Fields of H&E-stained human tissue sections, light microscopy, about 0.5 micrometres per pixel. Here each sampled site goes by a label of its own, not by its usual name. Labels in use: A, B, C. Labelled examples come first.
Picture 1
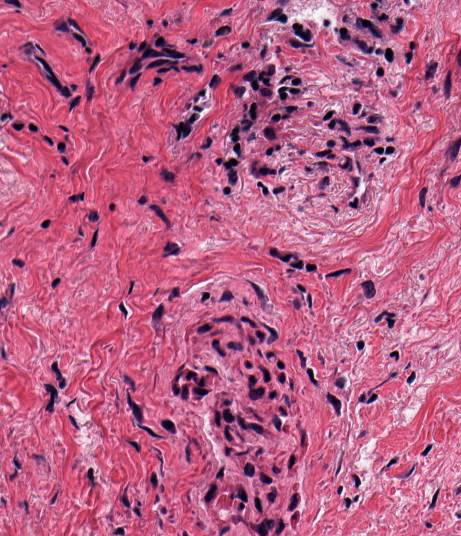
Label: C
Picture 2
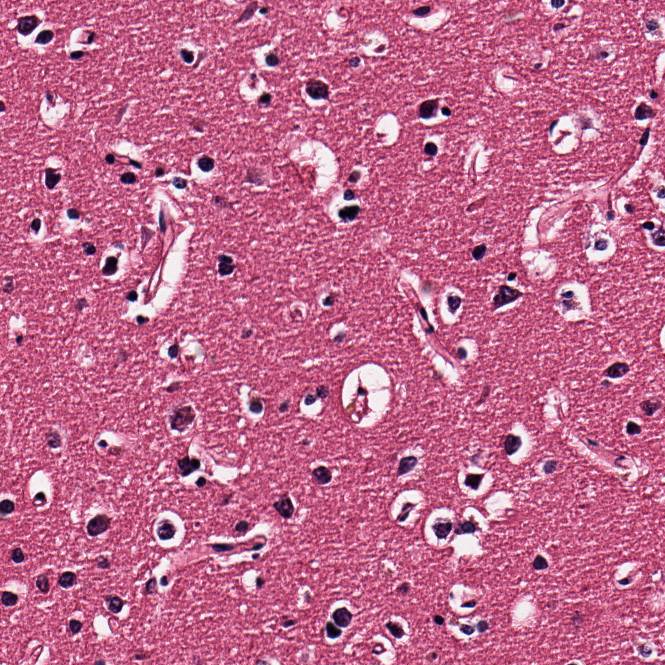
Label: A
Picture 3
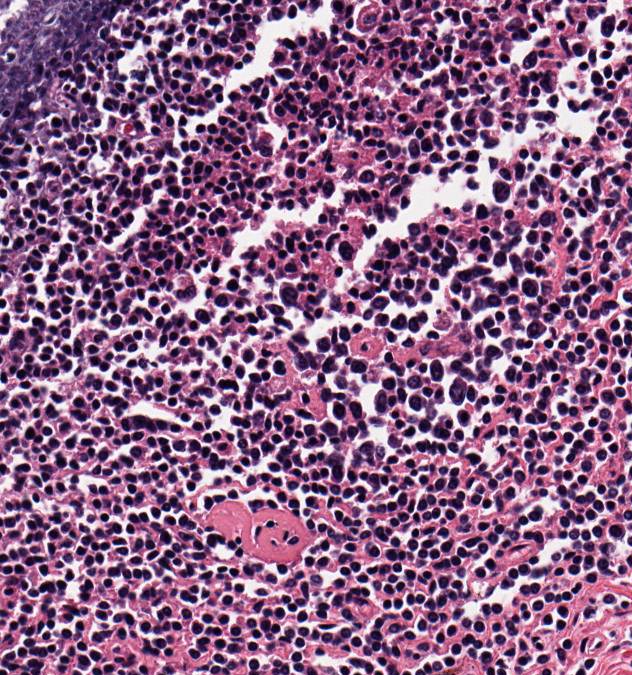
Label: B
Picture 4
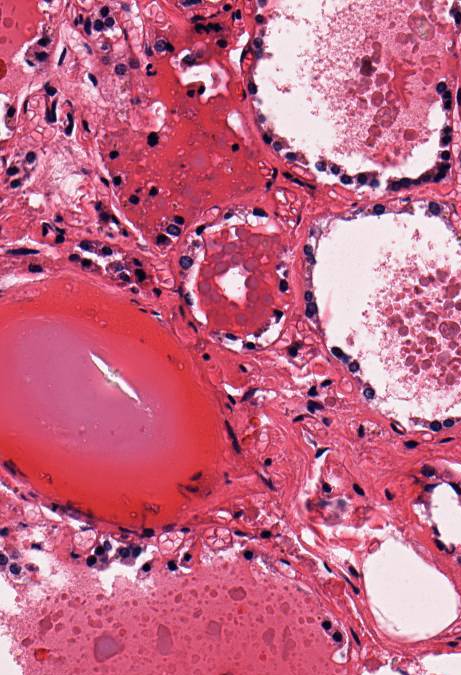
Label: C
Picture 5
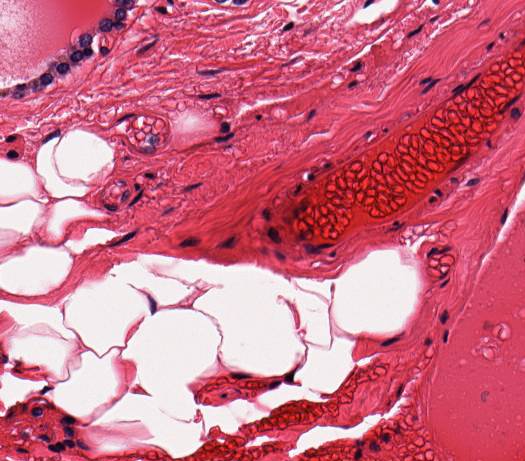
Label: C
